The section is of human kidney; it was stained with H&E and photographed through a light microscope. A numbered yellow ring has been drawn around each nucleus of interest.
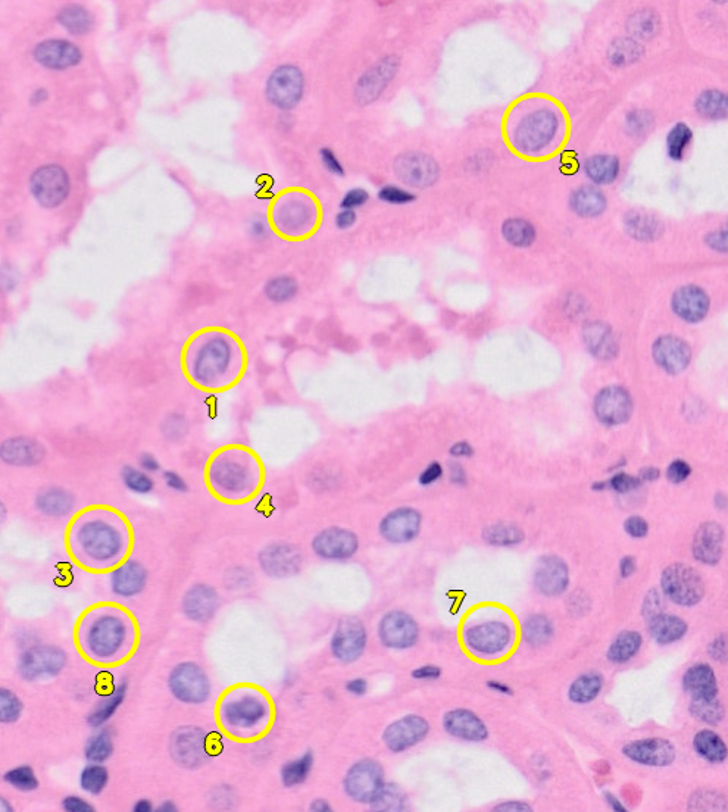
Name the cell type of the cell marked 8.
loop of Henle or distal tubule cell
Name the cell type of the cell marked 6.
loop of Henle or distal tubule cell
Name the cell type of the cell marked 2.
proximal tubule cell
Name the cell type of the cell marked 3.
loop of Henle or distal tubule cell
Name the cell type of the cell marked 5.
proximal tubule cell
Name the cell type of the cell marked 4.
proximal tubule cell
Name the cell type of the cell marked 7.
loop of Henle or distal tubule cell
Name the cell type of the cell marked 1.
proximal tubule cell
